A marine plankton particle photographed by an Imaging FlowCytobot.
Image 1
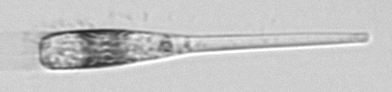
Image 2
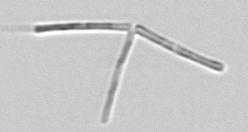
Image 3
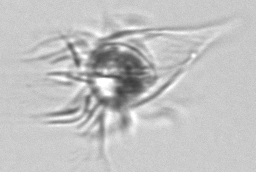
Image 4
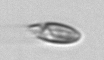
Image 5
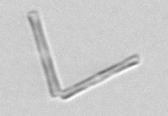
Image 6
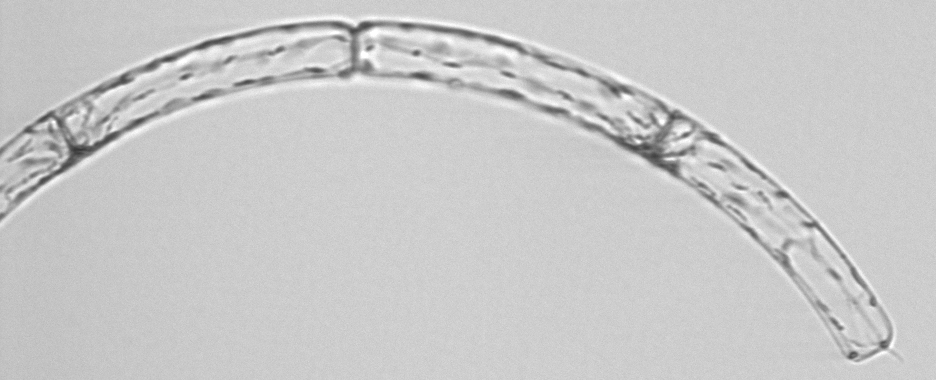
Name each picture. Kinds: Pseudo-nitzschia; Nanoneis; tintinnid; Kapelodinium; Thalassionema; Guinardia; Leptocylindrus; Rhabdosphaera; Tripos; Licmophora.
1: Licmophora
2: Thalassionema
3: tintinnid
4: Kapelodinium
5: Thalassionema
6: Guinardia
